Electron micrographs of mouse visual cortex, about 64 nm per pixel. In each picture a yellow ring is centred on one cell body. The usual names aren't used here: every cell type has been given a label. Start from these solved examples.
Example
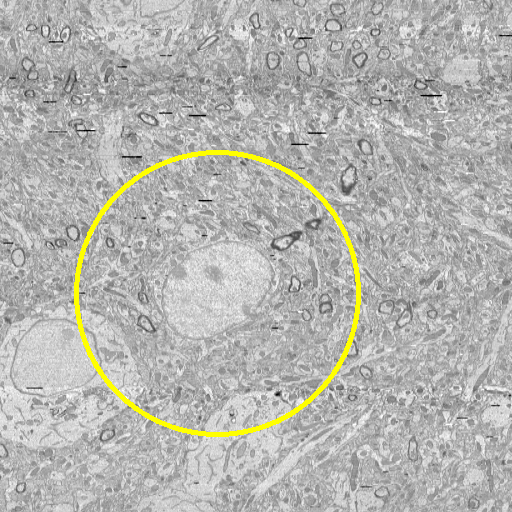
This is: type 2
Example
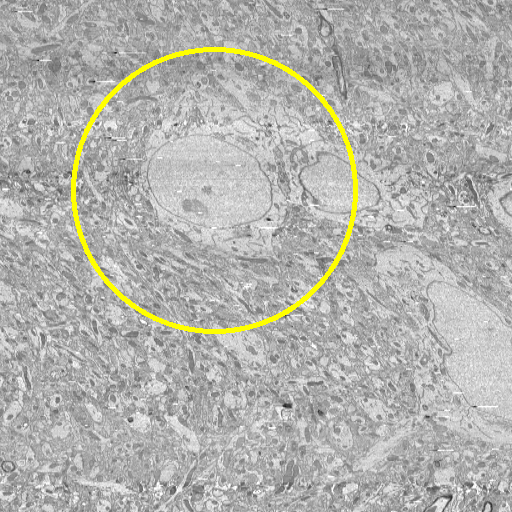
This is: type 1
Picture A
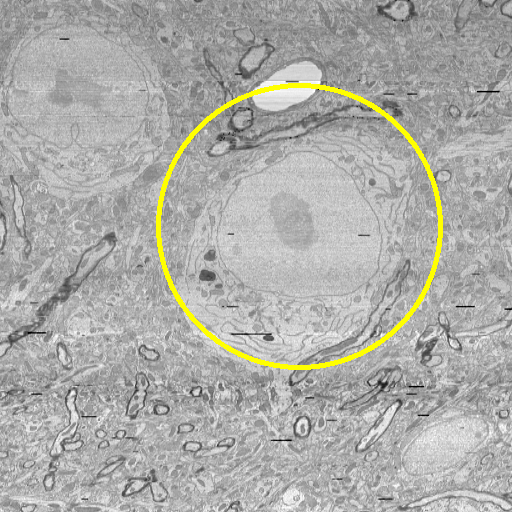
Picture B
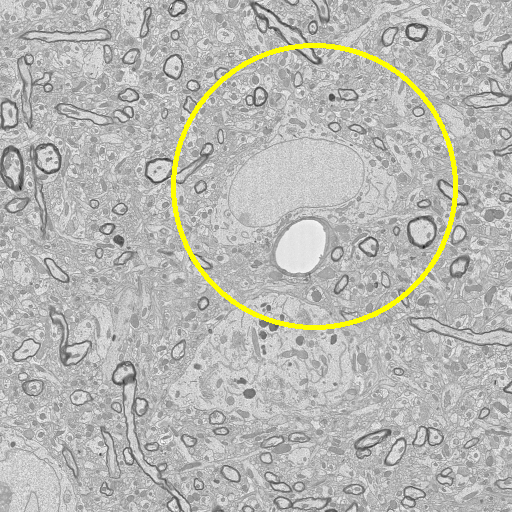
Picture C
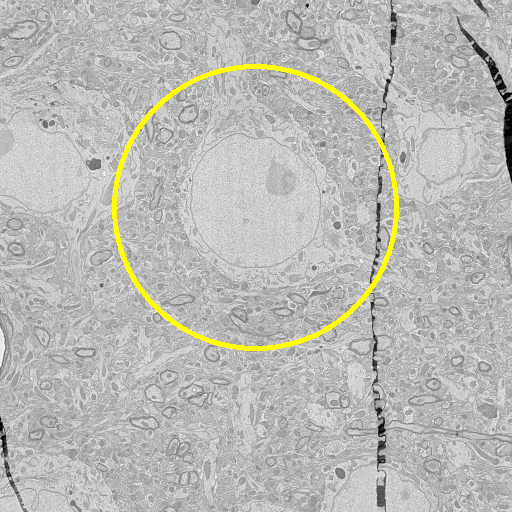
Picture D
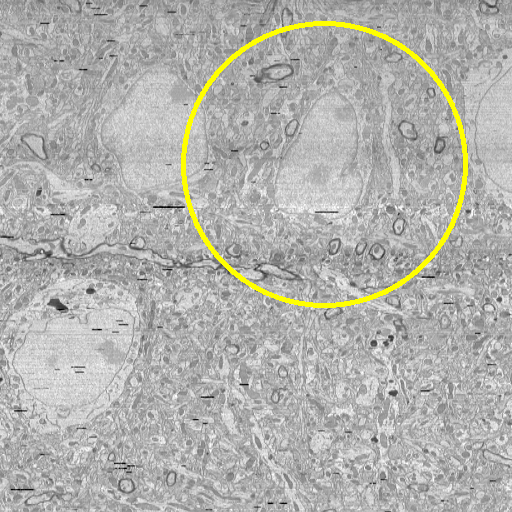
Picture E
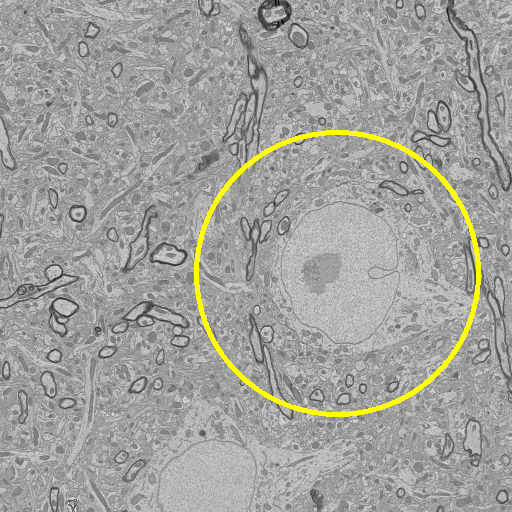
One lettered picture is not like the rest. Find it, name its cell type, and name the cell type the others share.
D differs and shows type 2; the others show type 1.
